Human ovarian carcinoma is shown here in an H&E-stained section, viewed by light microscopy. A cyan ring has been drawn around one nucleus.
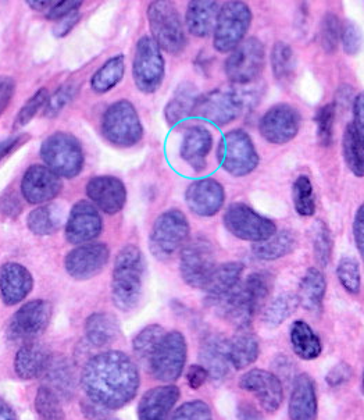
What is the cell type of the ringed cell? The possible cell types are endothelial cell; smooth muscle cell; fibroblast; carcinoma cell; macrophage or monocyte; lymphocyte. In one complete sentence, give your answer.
In this section of tissue, the ringed cell is a carcinoma cell.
